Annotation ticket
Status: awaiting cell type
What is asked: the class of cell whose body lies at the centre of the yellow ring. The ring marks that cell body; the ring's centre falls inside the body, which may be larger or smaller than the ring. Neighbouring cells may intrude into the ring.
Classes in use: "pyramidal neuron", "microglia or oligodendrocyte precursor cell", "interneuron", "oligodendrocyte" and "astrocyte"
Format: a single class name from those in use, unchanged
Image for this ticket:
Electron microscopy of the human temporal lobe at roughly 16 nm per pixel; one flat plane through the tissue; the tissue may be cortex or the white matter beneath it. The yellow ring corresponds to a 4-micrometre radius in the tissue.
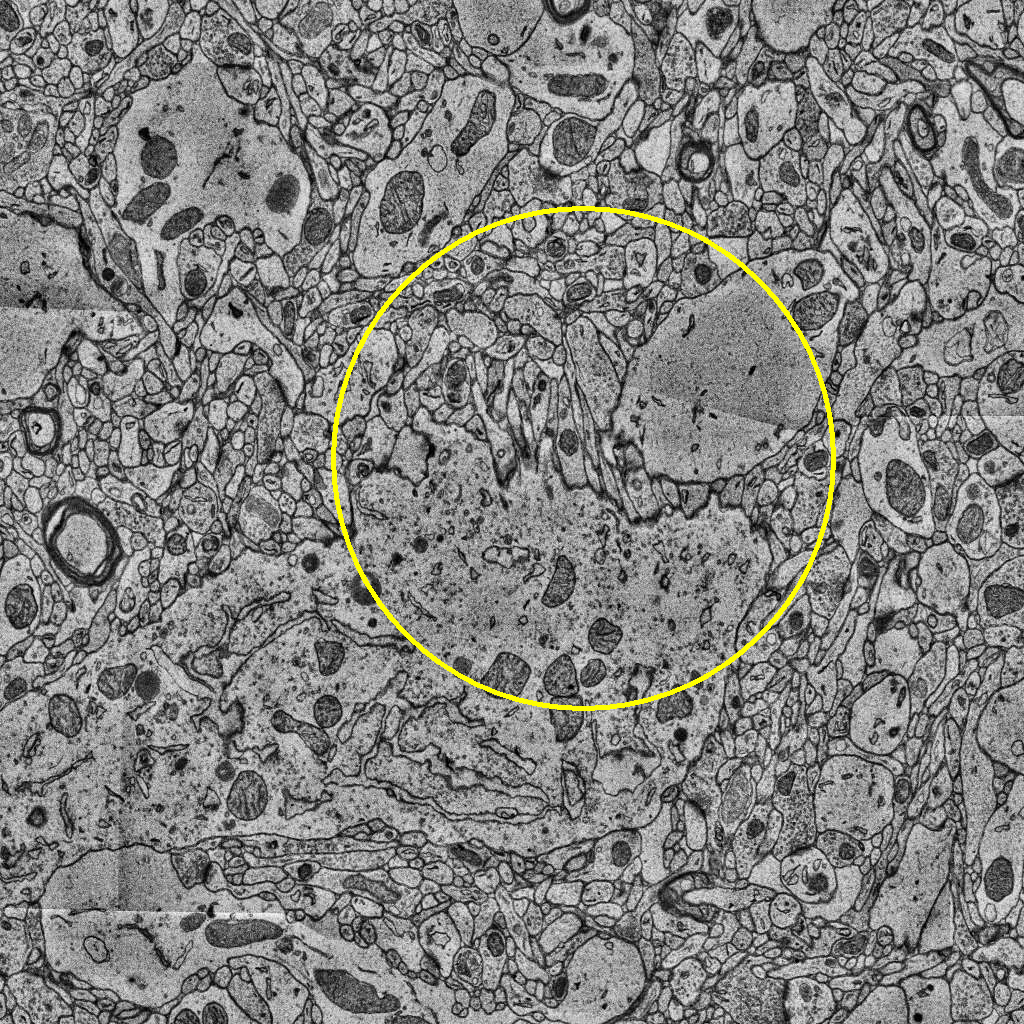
interneuron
